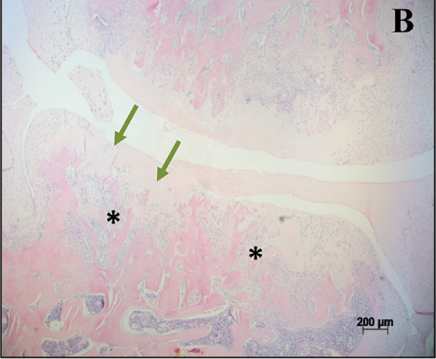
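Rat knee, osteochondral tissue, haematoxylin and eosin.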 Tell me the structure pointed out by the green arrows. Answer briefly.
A: Cartilage damage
